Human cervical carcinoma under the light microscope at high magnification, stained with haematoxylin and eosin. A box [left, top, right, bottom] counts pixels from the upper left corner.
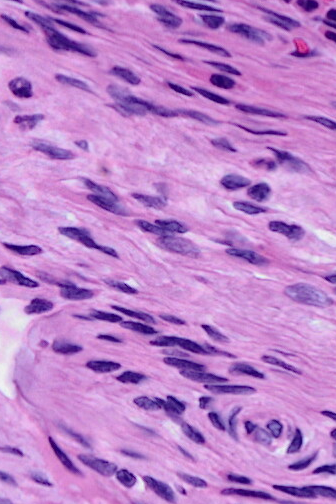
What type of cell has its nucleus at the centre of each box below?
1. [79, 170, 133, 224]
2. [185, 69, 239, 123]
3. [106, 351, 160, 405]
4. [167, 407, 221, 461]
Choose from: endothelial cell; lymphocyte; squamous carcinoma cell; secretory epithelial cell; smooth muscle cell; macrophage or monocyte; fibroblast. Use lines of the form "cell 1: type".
cell 1: endothelial cell
cell 2: fibroblast
cell 3: fibroblast
cell 4: fibroblast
